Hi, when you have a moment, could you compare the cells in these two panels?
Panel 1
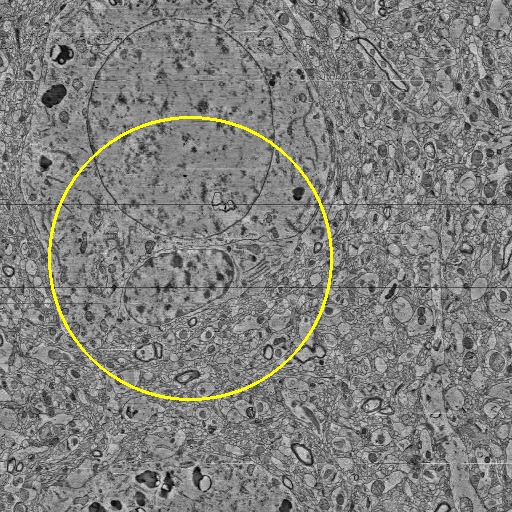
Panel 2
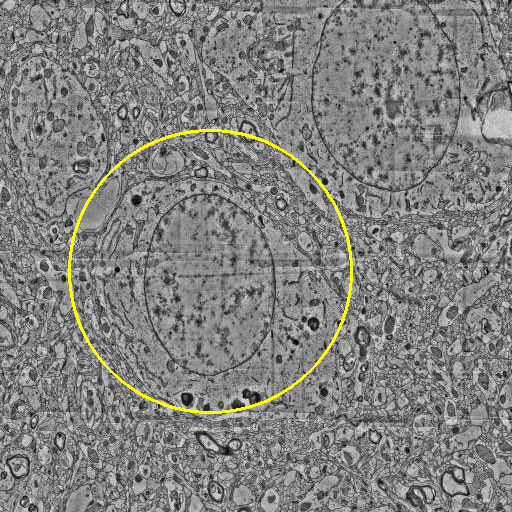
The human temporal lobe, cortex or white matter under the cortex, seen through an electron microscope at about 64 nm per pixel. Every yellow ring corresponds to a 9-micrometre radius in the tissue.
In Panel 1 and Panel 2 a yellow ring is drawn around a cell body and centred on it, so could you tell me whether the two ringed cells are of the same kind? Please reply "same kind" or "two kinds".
two kinds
